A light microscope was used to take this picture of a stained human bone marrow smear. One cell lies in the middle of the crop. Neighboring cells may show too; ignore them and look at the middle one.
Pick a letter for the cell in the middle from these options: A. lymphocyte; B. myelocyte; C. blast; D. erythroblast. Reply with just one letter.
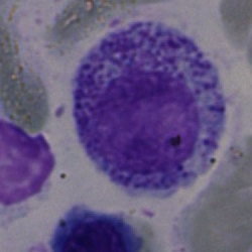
B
